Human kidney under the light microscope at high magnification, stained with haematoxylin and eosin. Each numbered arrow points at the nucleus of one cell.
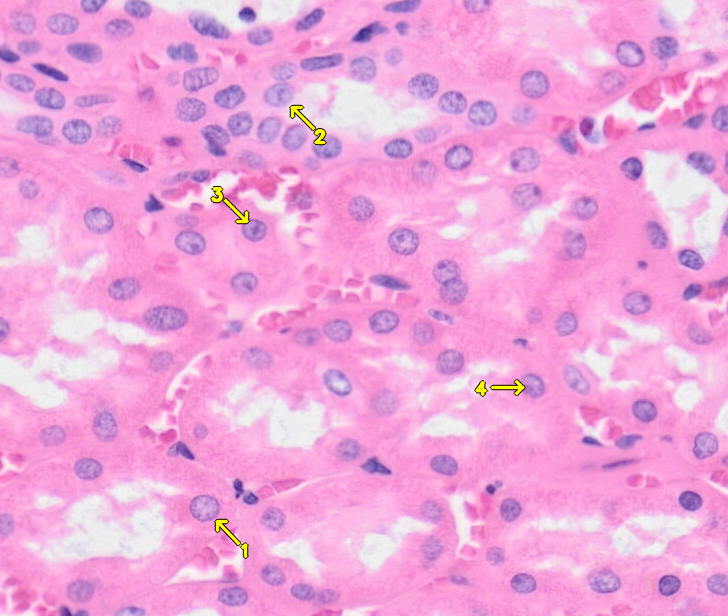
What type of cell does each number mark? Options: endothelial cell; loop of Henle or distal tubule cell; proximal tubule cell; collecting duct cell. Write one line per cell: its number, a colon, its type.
1: proximal tubule cell
2: collecting duct cell
3: proximal tubule cell
4: proximal tubule cell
